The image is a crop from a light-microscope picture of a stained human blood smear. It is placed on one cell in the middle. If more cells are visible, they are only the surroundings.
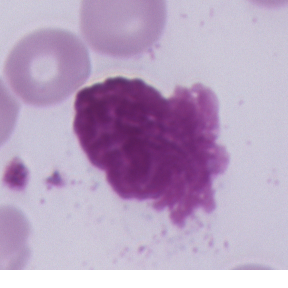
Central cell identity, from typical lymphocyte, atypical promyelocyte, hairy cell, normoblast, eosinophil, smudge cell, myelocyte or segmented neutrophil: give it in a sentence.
This crop has a smudge cell at its centre.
